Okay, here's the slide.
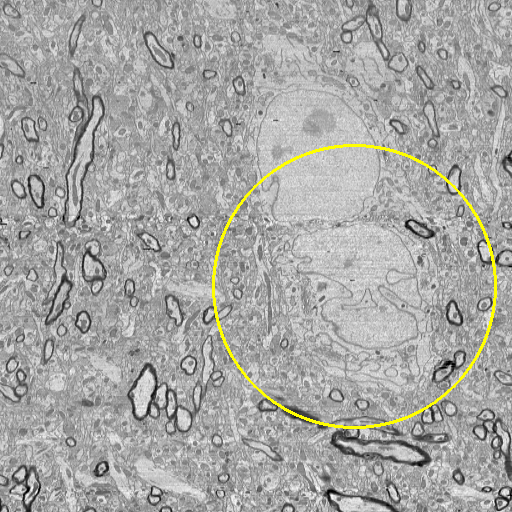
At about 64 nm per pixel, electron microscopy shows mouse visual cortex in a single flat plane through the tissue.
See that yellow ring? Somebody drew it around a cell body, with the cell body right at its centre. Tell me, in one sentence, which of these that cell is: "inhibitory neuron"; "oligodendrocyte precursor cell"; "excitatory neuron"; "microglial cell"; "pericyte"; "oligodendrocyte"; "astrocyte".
The cell in the middle of the ring is an inhibitory neuron.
